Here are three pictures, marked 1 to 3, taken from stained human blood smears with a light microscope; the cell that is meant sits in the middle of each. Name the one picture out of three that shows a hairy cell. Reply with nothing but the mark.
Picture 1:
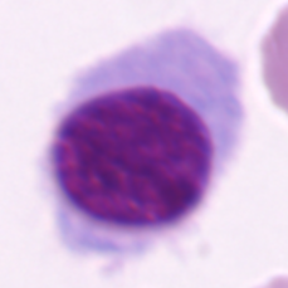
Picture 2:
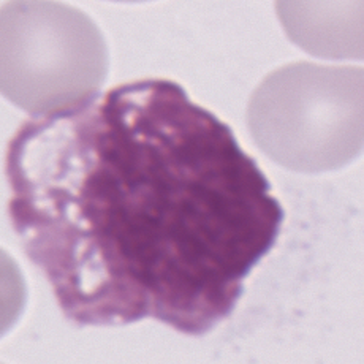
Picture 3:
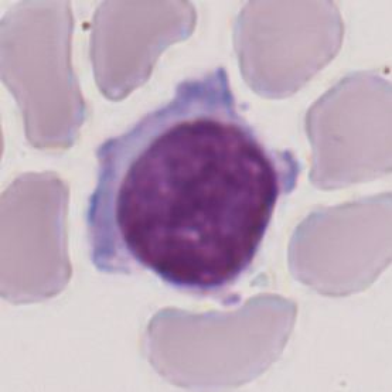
1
